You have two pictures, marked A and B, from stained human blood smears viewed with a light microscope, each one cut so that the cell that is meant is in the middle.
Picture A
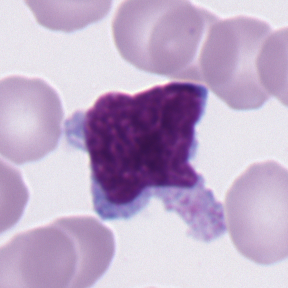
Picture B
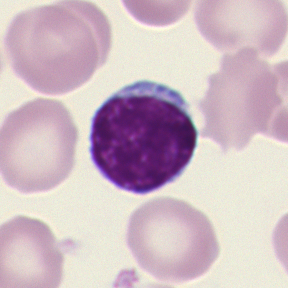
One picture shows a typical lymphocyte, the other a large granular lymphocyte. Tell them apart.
A: large granular lymphocyte
B: typical lymphocyte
